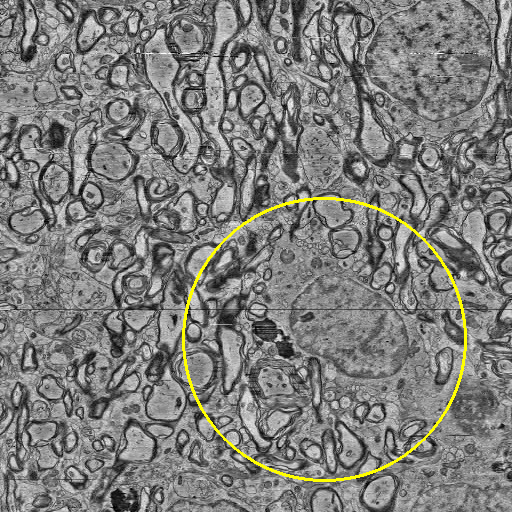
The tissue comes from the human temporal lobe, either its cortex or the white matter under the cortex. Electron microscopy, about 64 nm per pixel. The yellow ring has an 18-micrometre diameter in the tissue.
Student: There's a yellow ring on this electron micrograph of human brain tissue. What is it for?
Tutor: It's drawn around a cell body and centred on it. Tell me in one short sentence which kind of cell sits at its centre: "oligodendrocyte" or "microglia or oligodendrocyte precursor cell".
The cell at the centre of the ring is an oligodendrocyte.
